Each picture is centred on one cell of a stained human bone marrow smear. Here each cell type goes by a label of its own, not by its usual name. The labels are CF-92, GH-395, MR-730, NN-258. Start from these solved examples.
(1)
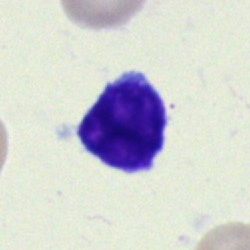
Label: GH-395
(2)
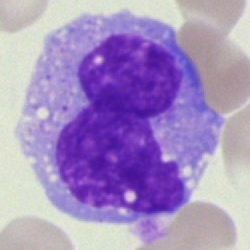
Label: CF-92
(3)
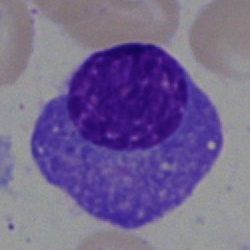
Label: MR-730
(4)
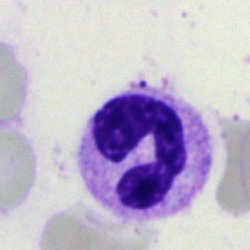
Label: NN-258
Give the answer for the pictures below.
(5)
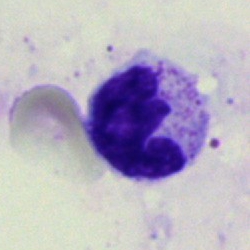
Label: NN-258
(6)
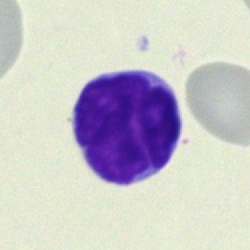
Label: GH-395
